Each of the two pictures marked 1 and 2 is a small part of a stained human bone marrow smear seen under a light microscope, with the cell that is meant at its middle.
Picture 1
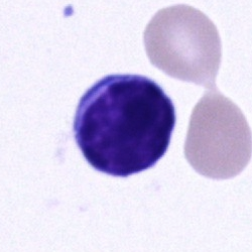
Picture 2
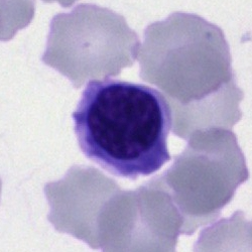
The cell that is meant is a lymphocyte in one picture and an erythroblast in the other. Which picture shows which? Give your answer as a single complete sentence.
Picture 1 is of a lymphocyte, and picture 2 is of an erythroblast.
